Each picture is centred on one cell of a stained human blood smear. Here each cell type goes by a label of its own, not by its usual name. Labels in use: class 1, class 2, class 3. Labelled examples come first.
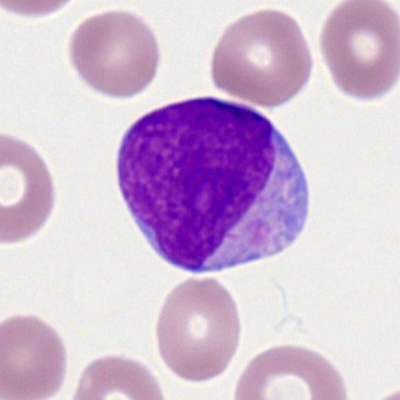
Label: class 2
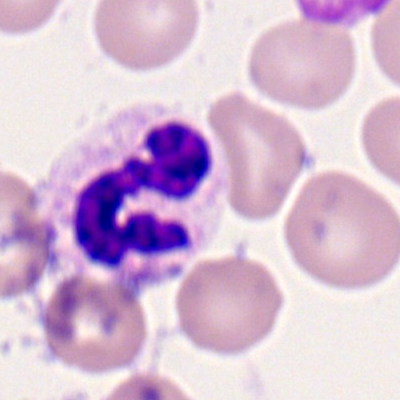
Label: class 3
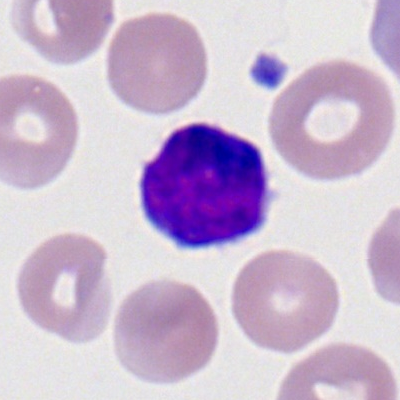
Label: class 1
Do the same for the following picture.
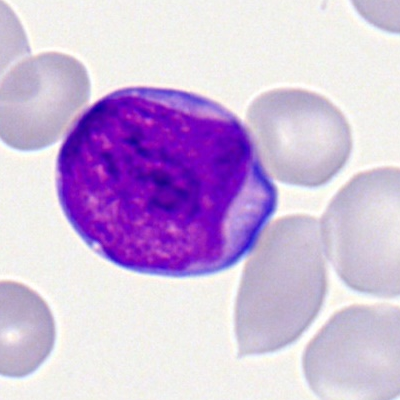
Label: class 2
